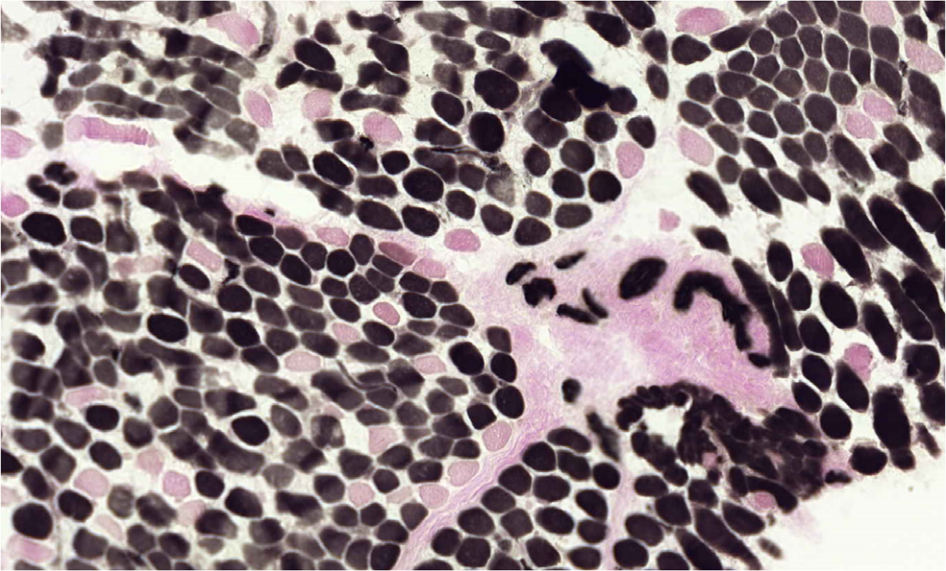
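Skeletal muscle fibers in cross-section are seen as rounded profiles in two tones, most dark grey-black and a minority pale pink. The pale fibers are scattered singly among the dark ones in a mosaic, with pink connective tissue between some fascicles.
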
